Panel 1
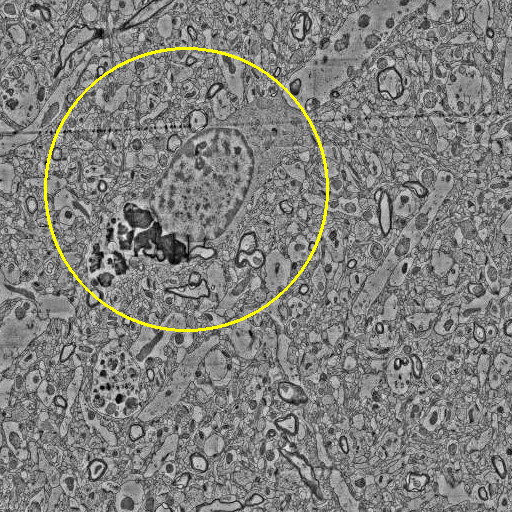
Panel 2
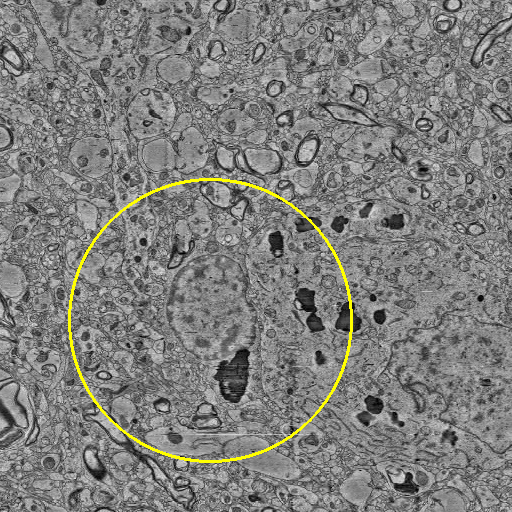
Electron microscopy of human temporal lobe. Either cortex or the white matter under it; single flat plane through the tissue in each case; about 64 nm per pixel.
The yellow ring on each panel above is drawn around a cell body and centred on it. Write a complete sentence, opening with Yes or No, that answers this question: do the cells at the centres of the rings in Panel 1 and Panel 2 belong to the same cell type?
Yes, both cells belong to the same cell type.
